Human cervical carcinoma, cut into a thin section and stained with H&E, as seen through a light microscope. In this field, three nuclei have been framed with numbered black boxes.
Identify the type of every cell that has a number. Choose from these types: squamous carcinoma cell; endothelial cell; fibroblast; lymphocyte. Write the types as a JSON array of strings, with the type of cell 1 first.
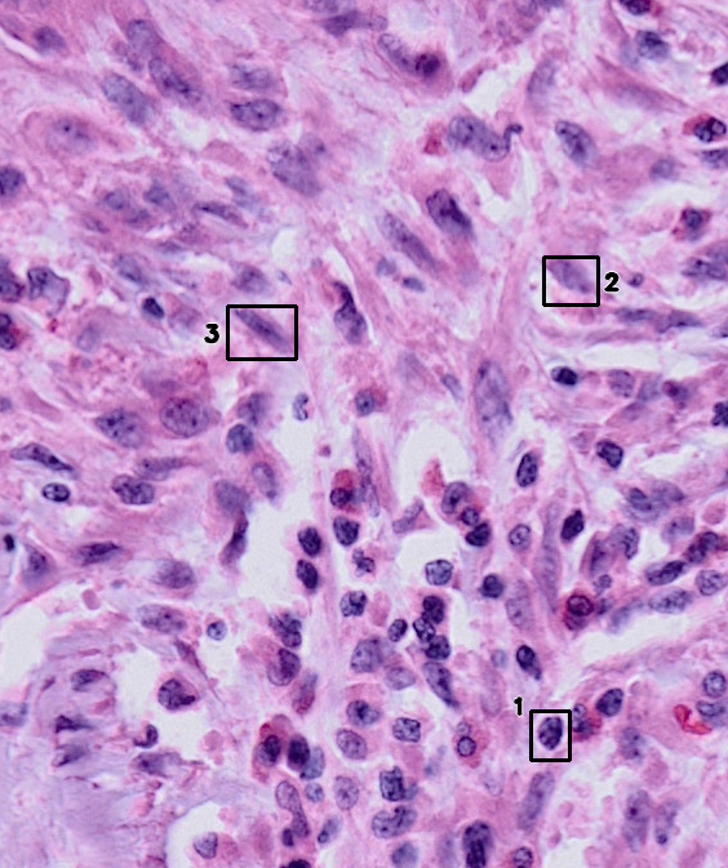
["lymphocyte", "fibroblast", "fibroblast"]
